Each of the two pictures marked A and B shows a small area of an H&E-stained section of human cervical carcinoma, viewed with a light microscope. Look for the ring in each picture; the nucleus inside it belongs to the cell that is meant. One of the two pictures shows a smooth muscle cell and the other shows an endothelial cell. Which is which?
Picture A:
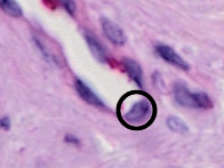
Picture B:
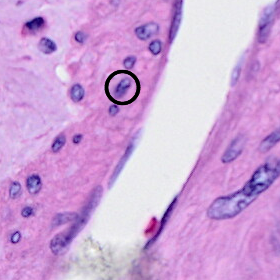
A: endothelial cell
B: smooth muscle cell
